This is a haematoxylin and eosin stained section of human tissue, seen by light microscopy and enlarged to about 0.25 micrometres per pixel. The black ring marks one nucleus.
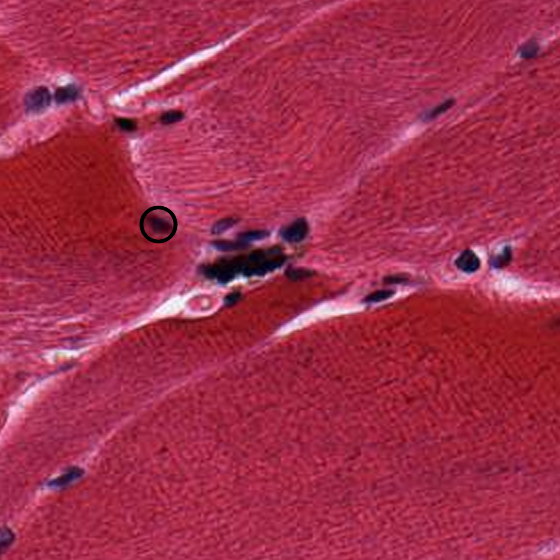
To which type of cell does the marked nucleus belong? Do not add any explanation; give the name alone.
skeletal muscle fibre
